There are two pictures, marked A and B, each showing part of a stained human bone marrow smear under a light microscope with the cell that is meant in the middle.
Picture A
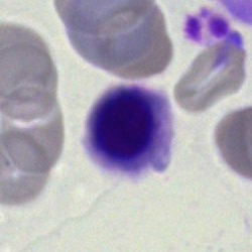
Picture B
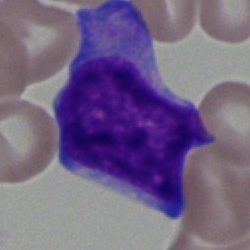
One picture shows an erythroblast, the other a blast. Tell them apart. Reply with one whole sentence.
Picture A shows an erythroblast and picture B shows a blast.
